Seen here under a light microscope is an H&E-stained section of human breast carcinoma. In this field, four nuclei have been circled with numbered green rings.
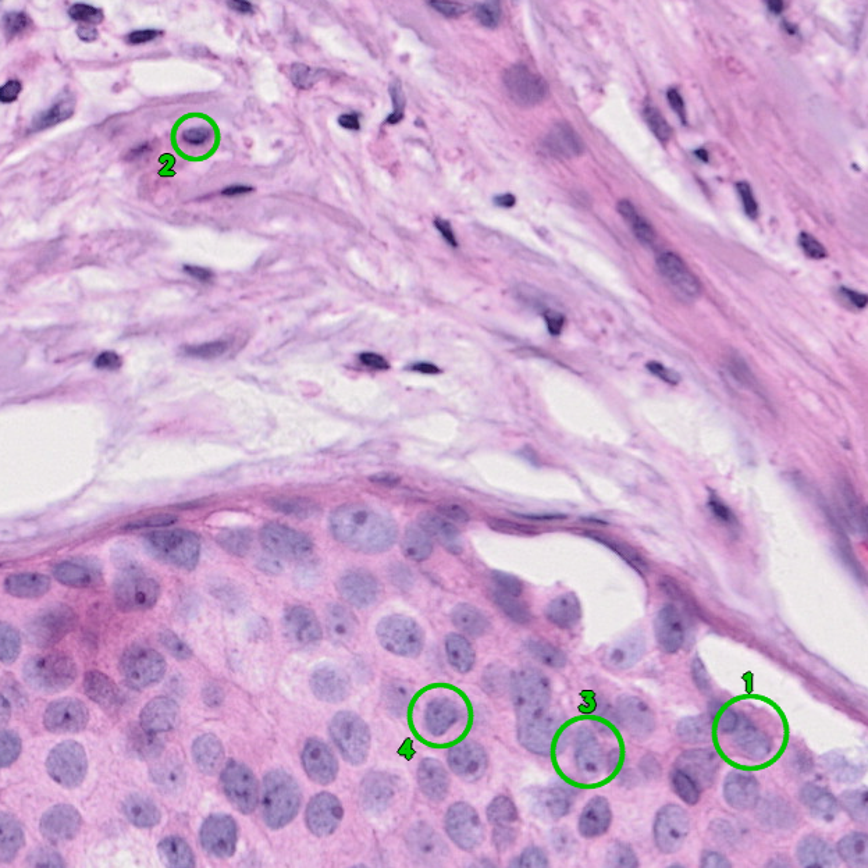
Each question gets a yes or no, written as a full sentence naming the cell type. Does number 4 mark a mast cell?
No, the cell bearing the number 4 is a carcinoma cell, not a mast cell.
